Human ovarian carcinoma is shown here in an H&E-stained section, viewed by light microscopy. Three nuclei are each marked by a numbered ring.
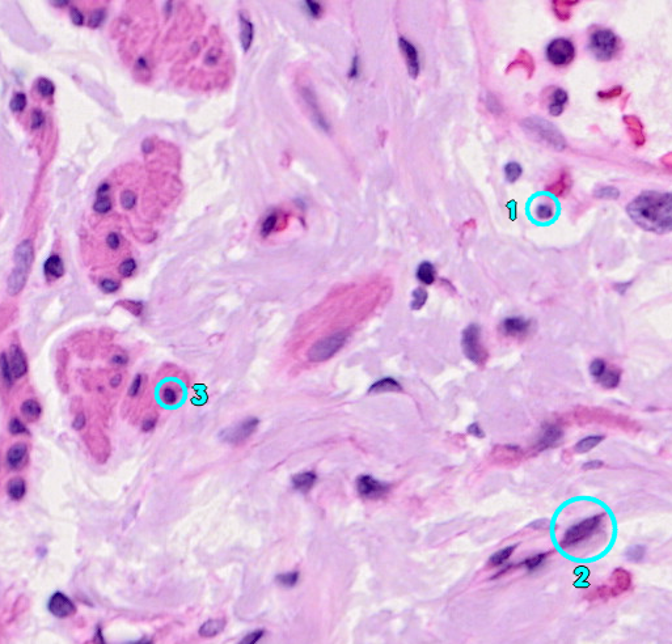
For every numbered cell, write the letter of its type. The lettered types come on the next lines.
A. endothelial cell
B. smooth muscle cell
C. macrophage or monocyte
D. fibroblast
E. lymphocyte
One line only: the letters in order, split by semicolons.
E; D; B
